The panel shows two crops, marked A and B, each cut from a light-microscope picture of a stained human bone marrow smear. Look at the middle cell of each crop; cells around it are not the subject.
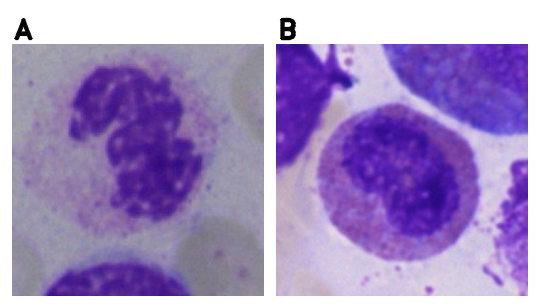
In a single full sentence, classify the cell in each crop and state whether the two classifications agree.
No, a neutrophil and an eosinophil are found in crop A and crop B, respectively.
